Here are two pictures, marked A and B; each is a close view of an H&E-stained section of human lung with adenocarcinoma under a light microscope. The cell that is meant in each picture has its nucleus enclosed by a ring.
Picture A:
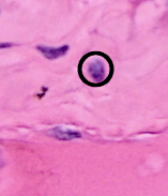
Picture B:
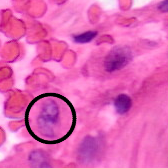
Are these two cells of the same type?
no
